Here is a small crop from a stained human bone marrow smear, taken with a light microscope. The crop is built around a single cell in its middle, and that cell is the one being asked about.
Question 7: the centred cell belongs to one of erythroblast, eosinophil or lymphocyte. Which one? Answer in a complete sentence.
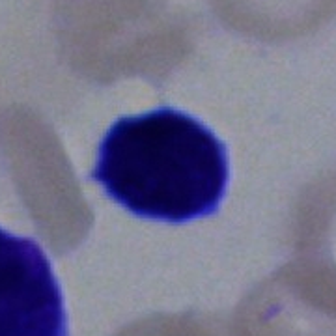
Here the centrally located cell is a lymphocyte.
